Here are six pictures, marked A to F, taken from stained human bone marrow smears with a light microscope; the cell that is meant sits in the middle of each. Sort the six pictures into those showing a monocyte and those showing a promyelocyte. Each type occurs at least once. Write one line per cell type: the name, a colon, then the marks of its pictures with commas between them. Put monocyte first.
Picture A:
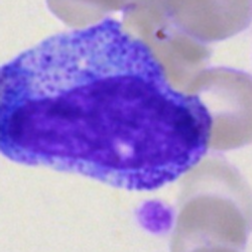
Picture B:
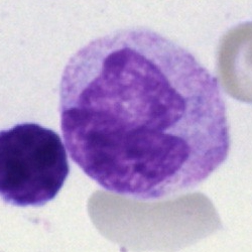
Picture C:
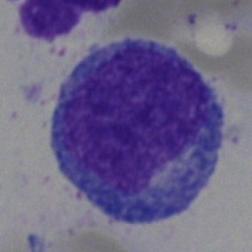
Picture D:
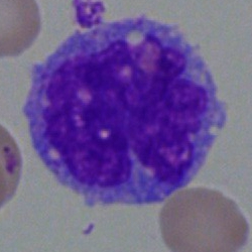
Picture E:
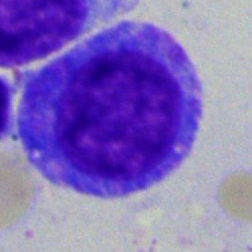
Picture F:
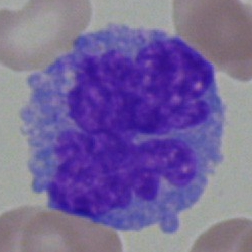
monocyte: B, D, F
promyelocyte: A, C, E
